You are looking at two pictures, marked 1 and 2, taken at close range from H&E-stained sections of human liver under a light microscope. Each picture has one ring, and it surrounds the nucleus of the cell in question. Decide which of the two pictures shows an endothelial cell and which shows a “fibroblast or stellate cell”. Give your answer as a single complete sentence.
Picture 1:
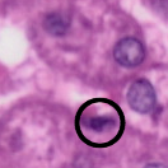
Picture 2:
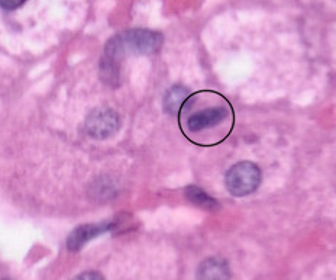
Picture 2 shows a “fibroblast or stellate cell”, while picture 1 shows an endothelial cell.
